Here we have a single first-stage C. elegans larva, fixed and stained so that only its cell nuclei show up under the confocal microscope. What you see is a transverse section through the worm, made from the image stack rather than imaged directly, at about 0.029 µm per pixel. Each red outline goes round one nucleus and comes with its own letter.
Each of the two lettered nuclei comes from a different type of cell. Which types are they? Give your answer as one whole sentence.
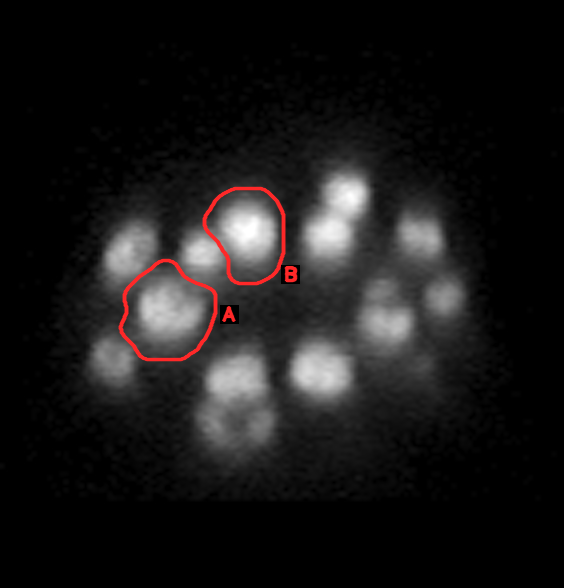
A is the nucleus of a pharyngeal muscle cell; B is the nucleus of a pharyngeal marginal cell.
